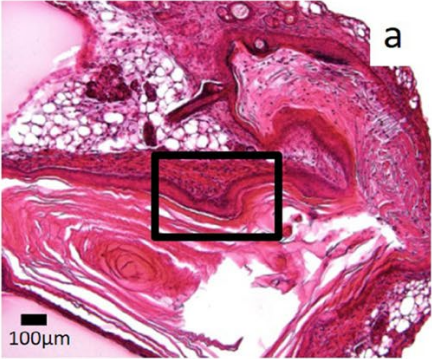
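In the upper left lie clusters of round, empty-looking fat cells with thin pink walls. Much of the field is taken up by bands of layered, pink eosinophilic material, including a concentric lamellar whorl in the lower left. In the box, a band of densely nucleated, more purple-stained cells runs along one of these layered pink sheets.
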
